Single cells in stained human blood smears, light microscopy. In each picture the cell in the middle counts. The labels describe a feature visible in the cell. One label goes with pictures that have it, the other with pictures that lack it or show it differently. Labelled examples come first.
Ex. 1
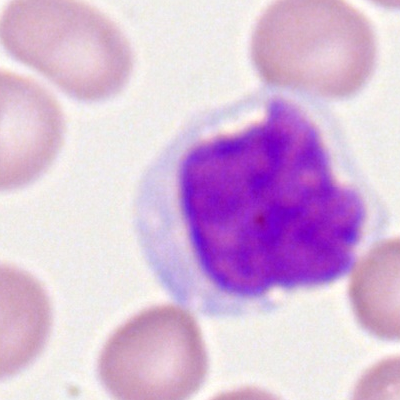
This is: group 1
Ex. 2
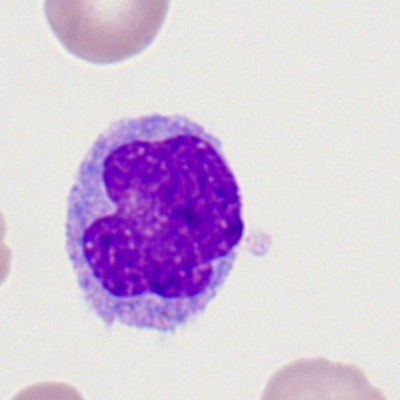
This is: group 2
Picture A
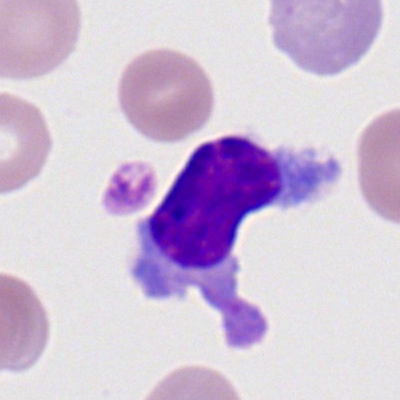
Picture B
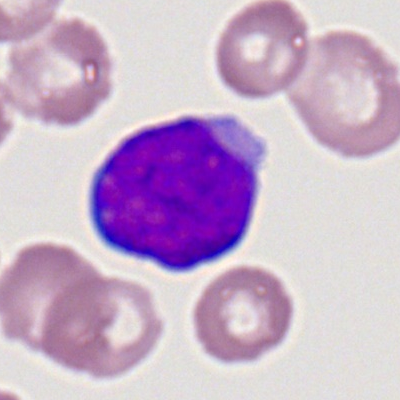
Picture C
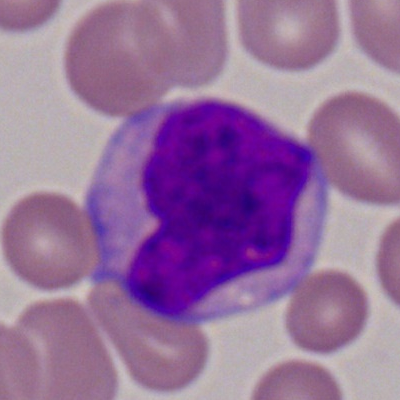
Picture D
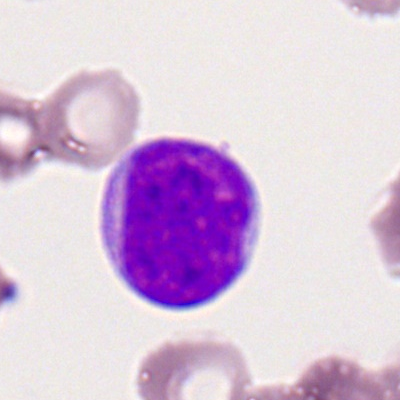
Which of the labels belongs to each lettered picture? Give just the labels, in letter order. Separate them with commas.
group 2, group 2, group 1, group 1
